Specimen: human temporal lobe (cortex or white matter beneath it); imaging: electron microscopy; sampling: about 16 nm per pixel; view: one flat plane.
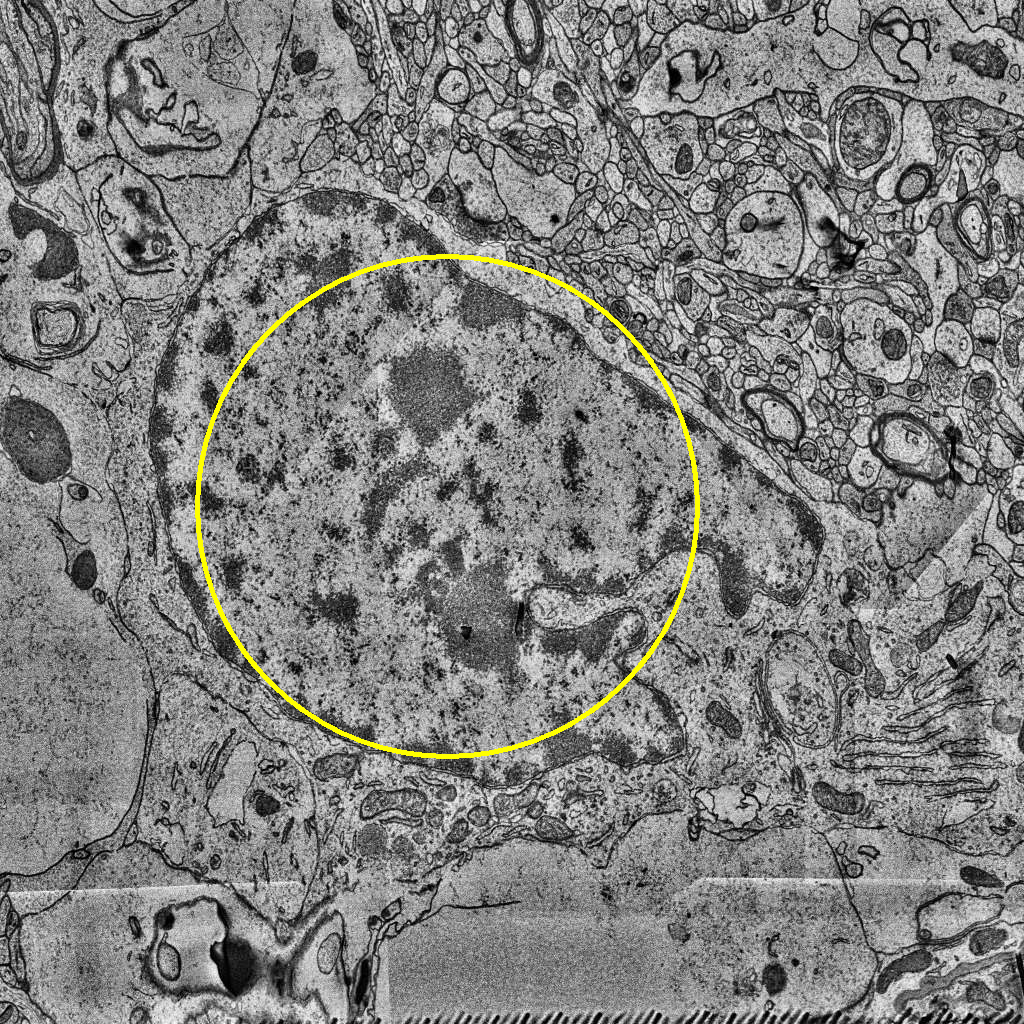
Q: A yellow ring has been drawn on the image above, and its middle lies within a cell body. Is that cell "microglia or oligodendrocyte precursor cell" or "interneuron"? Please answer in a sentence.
The ring's middle lies in the cell body of a microglial cell or oligodendrocyte precursor cell.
